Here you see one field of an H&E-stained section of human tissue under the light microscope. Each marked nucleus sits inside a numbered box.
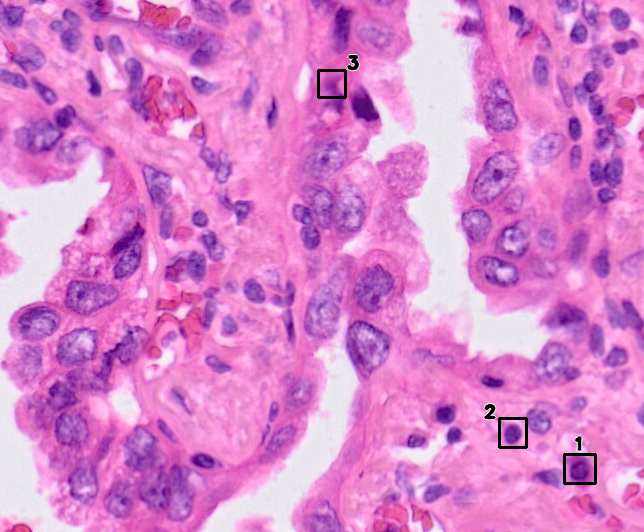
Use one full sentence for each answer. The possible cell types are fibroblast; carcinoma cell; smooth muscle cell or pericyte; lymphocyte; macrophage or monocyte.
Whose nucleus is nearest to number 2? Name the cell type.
The nearest nucleus to number 2 belongs to a fibroblast.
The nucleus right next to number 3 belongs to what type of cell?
Number 3 lies closest to the nucleus of a carcinoma cell.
